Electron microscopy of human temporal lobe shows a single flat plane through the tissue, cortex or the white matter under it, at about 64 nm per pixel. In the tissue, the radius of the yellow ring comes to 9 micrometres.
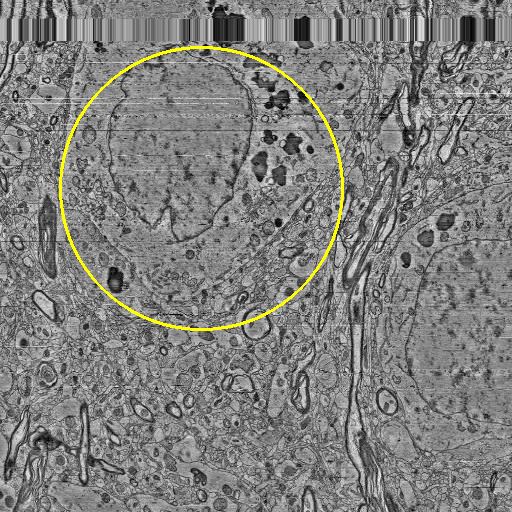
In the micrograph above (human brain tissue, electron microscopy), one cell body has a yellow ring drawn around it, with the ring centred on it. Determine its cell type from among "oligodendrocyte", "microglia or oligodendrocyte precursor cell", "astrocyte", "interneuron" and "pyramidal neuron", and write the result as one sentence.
The cell whose body is ringed is a pyramidal neuron.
